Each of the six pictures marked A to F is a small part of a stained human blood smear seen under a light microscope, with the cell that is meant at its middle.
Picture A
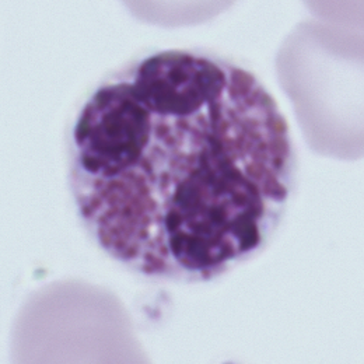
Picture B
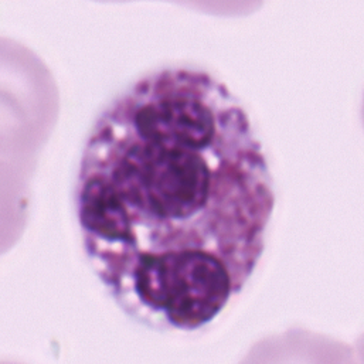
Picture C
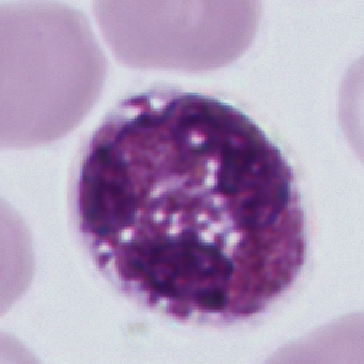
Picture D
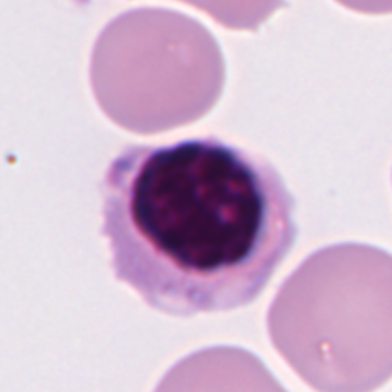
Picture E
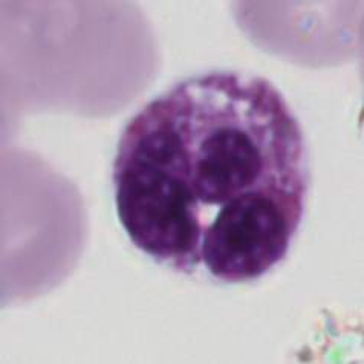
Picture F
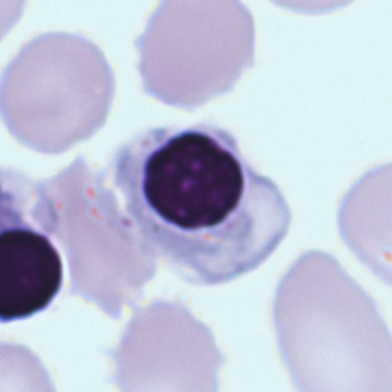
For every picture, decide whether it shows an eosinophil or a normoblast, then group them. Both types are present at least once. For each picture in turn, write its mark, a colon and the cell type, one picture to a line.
A: eosinophil
B: eosinophil
C: eosinophil
D: normoblast
E: eosinophil
F: normoblast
